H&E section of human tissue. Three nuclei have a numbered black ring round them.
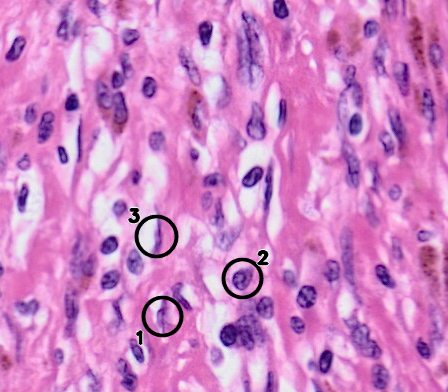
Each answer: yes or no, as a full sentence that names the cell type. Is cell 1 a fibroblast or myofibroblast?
Yes, the marked cell number 1 is a fibroblast or myofibroblast.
